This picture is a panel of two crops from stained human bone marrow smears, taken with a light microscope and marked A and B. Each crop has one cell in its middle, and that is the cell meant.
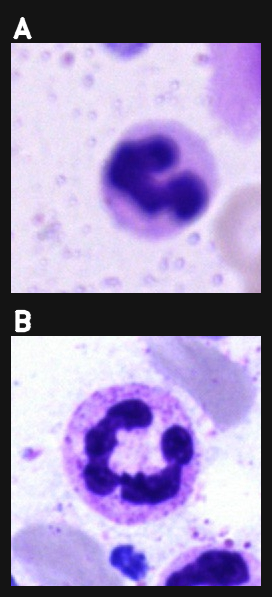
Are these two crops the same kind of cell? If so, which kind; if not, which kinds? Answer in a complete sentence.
Yes, both of the crops in this pair show segmented neutrophils, one cell in each crop.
